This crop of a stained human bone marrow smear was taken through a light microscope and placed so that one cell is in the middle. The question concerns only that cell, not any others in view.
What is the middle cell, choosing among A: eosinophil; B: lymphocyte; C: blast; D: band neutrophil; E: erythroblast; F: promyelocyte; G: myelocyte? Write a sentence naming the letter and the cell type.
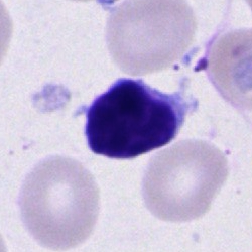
The correct option is B, as the central cell is a lymphocyte.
